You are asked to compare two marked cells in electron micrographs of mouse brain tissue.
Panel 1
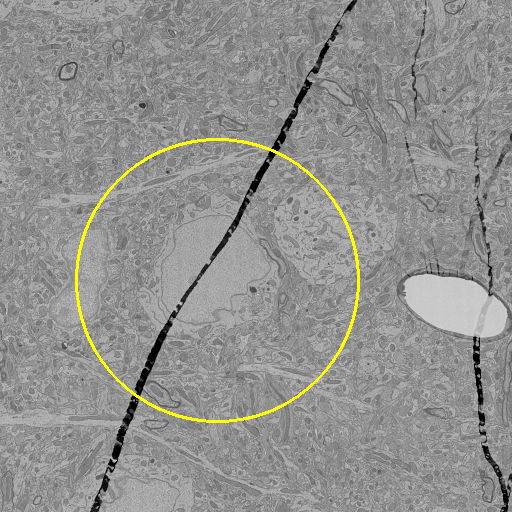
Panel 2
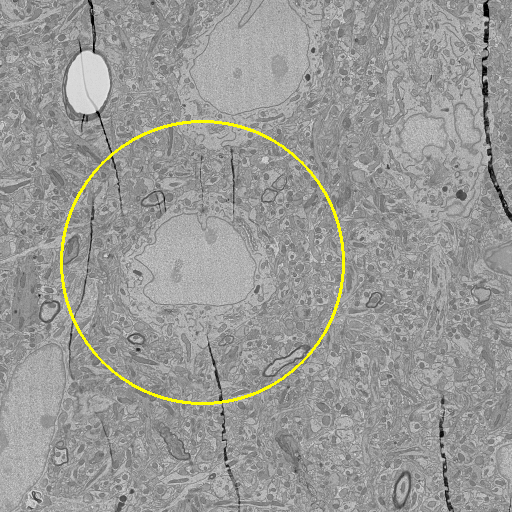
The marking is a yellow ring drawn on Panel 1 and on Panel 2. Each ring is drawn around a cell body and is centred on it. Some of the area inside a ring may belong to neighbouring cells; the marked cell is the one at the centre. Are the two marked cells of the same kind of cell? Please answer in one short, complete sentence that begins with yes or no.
Yes, the two marked cells are of the same kind.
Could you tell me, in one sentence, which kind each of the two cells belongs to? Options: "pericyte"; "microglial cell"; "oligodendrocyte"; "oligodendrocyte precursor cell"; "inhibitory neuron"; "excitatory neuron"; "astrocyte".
Each cell at the centre of a ring is an excitatory neuron.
